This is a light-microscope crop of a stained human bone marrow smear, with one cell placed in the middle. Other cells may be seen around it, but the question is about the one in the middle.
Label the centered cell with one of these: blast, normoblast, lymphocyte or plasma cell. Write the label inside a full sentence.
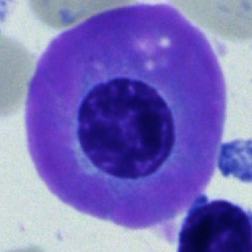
What sits at the centre of this crop is a plasma cell.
